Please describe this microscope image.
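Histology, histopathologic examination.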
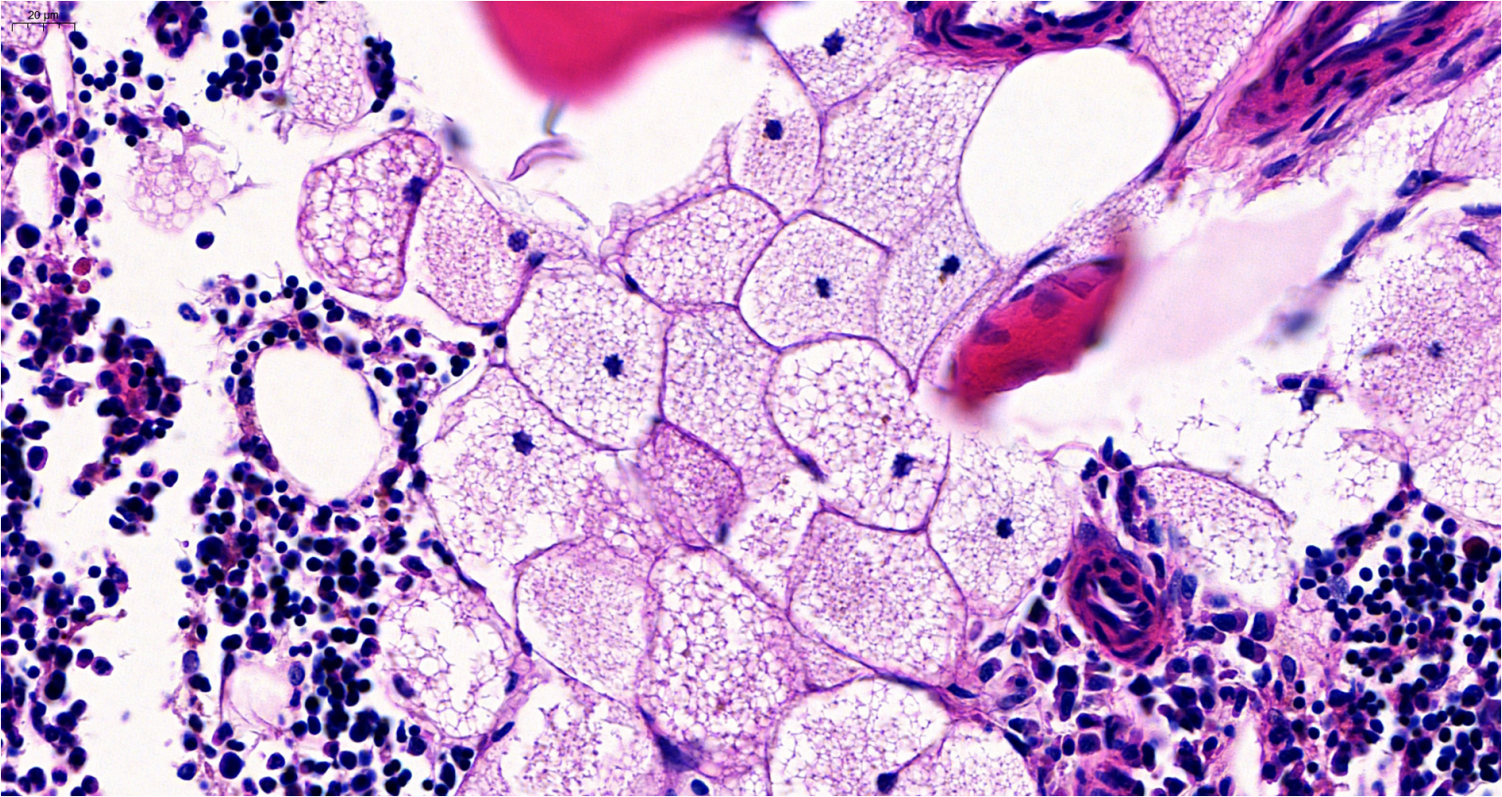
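Bone marrow containing a cluster of brown fat cells, large polygonal cells closely packed against one another with distinct thin pink borders. The cluster is bordered by marrow with dense sheets of small round cells with dark purple nuclei and a small blood vessel.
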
